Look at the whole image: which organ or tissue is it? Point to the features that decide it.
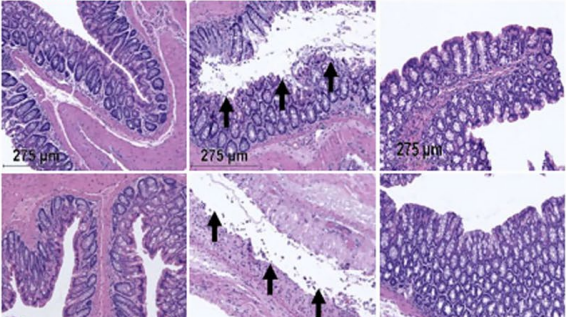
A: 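Colon. Straight tubular glands (crypts) packed side by side in the mucosa. No villi project from the surface. Pale, mucus-filled goblet cells line the glands. A pink muscular wall lies beneath the mucosa.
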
